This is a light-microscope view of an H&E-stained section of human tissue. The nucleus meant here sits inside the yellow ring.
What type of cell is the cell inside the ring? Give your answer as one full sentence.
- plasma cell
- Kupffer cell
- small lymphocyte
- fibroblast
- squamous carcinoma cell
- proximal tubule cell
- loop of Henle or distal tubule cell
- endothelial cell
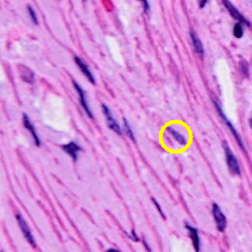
In the stained section, the cell inside the ring is a fibroblast.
